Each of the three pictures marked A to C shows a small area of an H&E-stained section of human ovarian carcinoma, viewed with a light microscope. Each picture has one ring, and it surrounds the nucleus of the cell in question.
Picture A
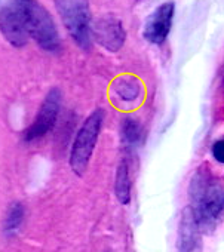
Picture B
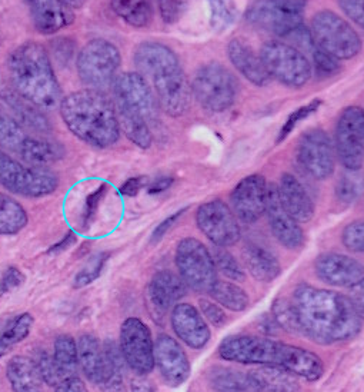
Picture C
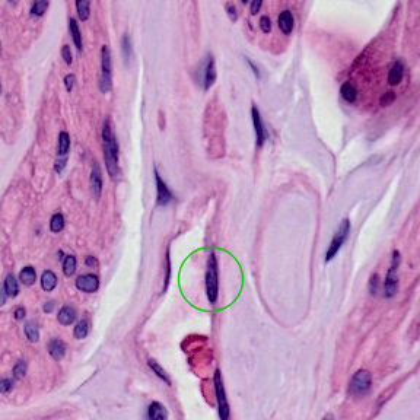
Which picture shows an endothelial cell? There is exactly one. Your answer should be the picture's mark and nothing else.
C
